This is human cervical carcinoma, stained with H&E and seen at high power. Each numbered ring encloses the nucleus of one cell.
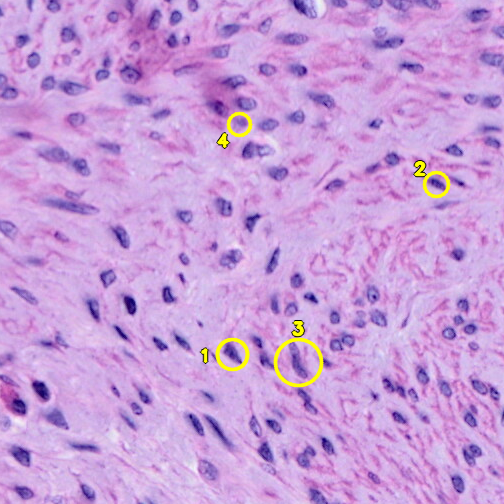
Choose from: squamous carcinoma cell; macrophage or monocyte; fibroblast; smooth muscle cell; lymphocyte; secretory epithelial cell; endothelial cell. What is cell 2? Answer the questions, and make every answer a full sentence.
The numbered cell 2 in this field is a smooth muscle cell.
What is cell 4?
In the marked set, the cell given number 4 is a smooth muscle cell.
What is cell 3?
The cell given label 3 is a smooth muscle cell.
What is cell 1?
The cell assigned the number 1 is a fibroblast.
